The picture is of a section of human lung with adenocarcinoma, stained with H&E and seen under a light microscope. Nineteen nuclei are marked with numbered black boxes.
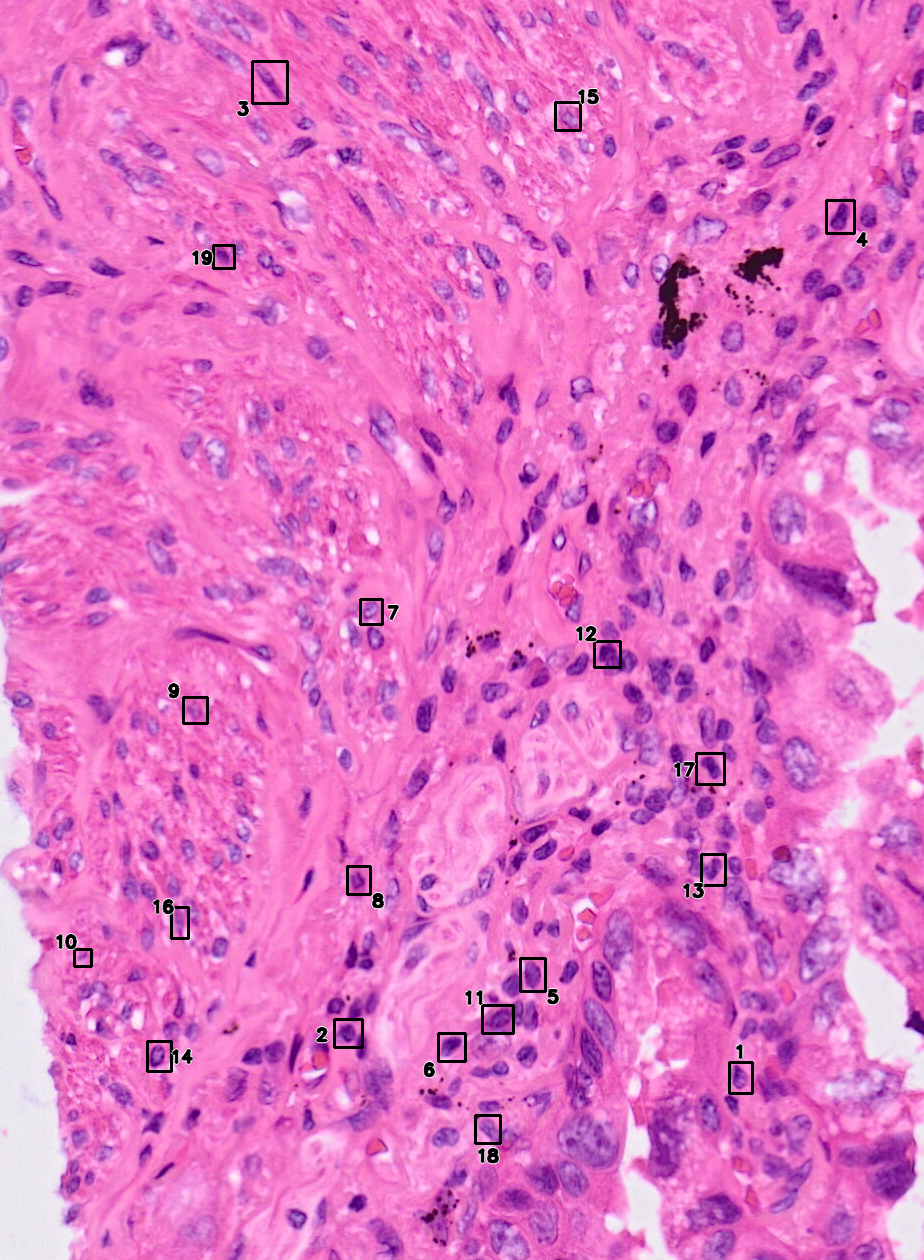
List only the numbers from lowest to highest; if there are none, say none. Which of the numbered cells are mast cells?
14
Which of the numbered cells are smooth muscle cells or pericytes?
3, 7, 9, 10, 15, 16, 19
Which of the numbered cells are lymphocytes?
1, 2, 5, 6, 12, 13, 17, 18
